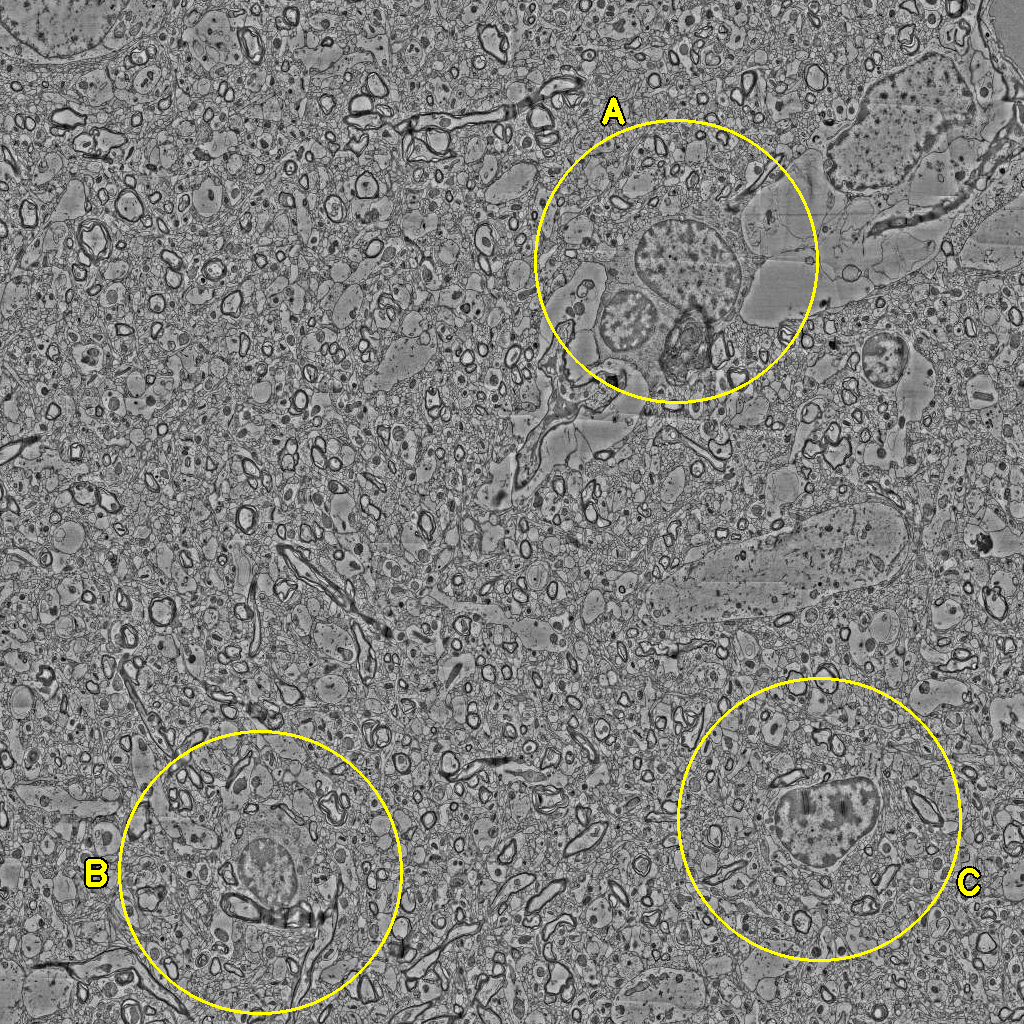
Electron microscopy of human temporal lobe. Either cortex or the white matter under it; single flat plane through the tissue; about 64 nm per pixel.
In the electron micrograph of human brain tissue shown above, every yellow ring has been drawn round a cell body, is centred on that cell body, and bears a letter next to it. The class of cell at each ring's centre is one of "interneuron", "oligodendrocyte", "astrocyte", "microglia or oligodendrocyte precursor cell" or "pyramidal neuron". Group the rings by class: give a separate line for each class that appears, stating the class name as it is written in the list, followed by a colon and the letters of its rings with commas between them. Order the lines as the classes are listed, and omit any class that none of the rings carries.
oligodendrocyte: A, B
microglia or oligodendrocyte precursor cell: C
